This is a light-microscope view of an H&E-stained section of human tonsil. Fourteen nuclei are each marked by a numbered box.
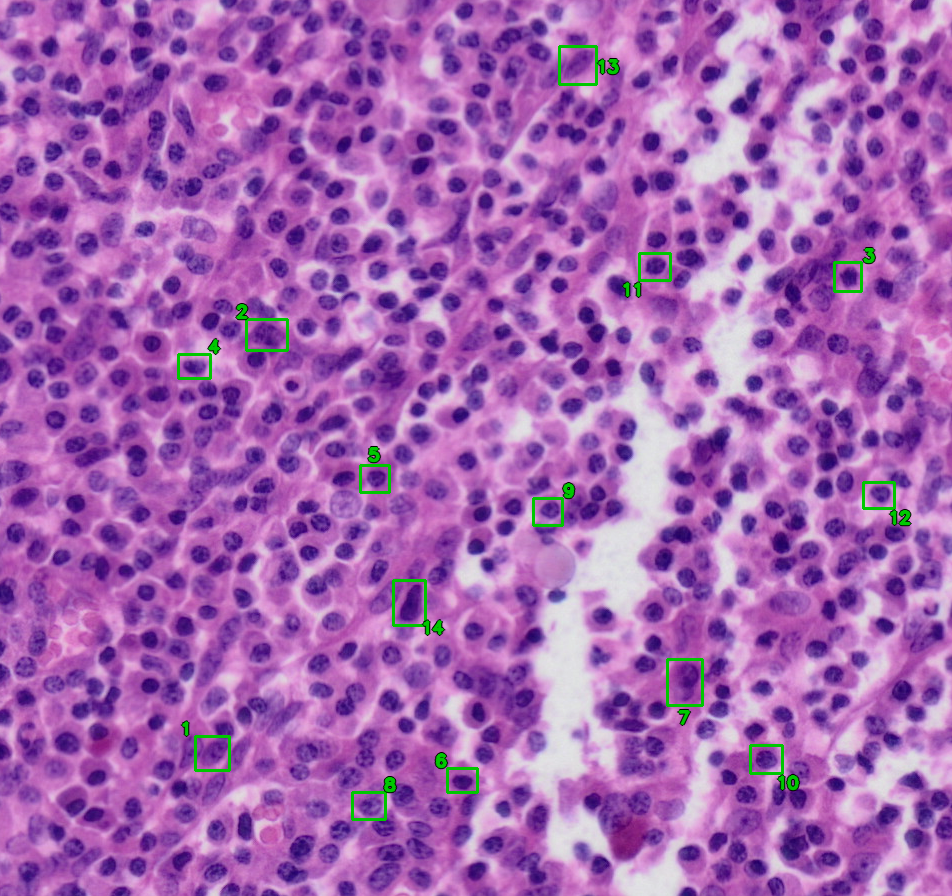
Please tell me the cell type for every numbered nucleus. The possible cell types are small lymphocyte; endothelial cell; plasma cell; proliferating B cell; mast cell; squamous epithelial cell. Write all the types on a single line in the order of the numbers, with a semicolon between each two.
squamous epithelial cell; squamous epithelial cell; squamous epithelial cell; plasma cell; plasma cell; plasma cell; squamous epithelial cell; plasma cell; plasma cell; plasma cell; plasma cell; plasma cell; squamous epithelial cell; squamous epithelial cell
